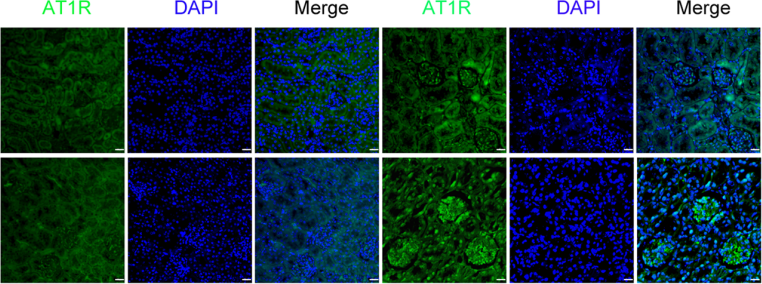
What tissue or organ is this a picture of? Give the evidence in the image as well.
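Round glomerular tufts enclosed by a capsule space appear in the right-hand images.
Hence: renal tissues.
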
